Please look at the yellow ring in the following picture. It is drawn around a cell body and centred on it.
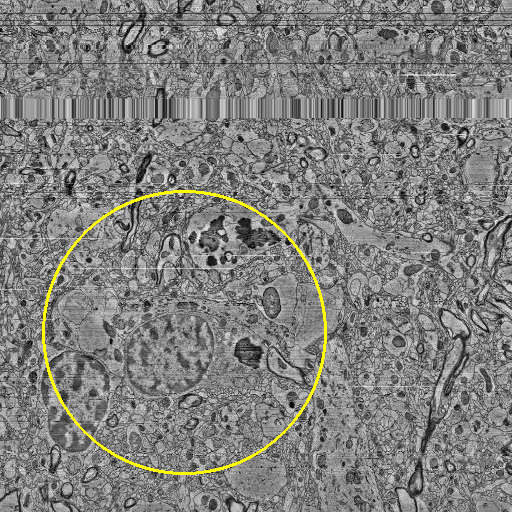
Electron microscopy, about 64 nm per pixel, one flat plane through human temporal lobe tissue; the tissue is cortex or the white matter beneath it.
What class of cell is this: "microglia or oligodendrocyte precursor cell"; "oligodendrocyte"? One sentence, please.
The ring surrounds the cell body of an oligodendrocyte.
